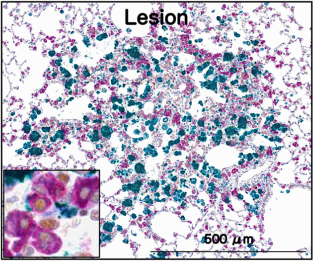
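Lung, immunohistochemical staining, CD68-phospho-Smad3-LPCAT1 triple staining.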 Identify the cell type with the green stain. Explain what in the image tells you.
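Large rounded green-stained cells crowd the alveolar spaces. The answer: macrophages.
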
